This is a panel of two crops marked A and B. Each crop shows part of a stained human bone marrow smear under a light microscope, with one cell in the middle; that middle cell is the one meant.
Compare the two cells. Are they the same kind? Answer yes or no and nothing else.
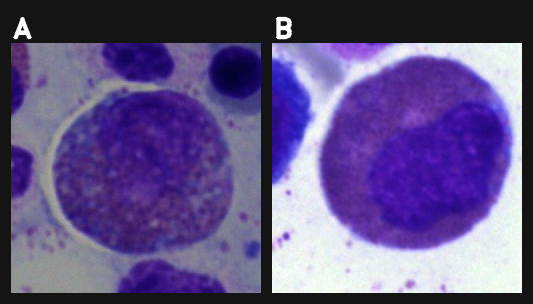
yes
